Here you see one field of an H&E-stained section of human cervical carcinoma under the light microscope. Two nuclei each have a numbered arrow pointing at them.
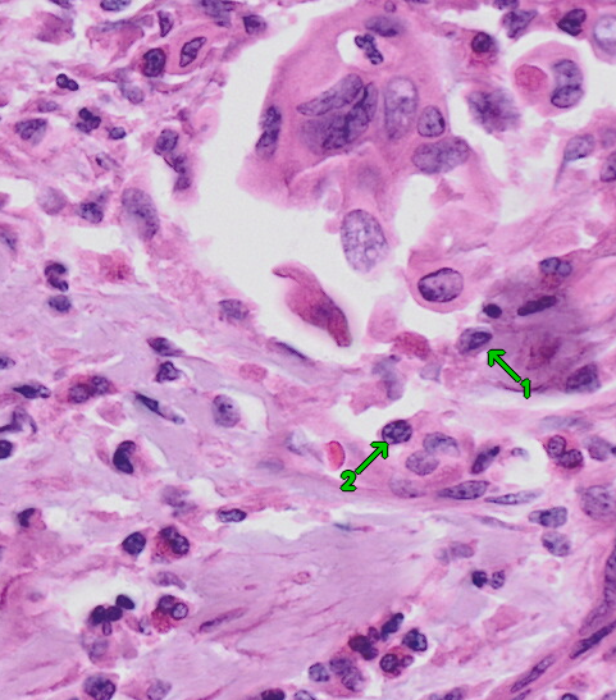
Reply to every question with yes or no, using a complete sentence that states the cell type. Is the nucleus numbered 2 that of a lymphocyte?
Yes, with respect to number 2, the cell is a lymphocyte.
